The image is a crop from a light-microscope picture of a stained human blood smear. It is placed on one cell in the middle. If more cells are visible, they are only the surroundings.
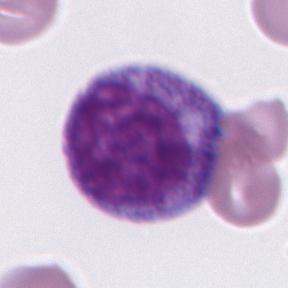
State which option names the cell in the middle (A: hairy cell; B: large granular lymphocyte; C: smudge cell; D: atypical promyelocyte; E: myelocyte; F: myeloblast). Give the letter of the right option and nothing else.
E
